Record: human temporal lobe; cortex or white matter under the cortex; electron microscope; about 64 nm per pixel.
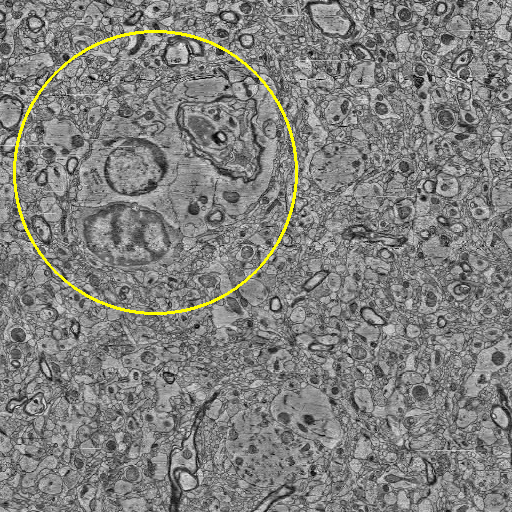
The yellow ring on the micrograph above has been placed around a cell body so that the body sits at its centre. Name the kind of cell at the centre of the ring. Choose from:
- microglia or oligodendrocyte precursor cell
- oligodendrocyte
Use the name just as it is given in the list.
microglia or oligodendrocyte precursor cell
